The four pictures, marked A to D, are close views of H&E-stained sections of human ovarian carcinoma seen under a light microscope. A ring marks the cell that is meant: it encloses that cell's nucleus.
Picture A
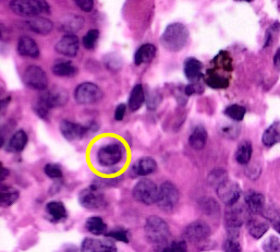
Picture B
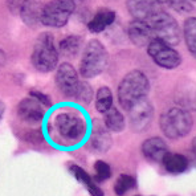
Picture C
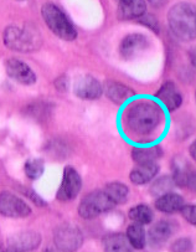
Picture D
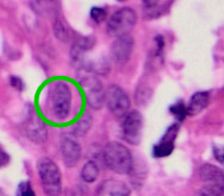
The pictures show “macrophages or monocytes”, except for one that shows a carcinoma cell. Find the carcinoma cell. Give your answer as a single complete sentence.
The picture with the carcinoma cell is C.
